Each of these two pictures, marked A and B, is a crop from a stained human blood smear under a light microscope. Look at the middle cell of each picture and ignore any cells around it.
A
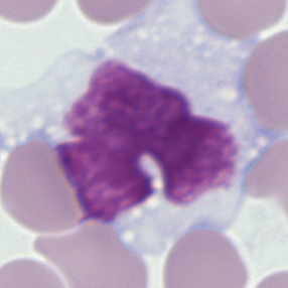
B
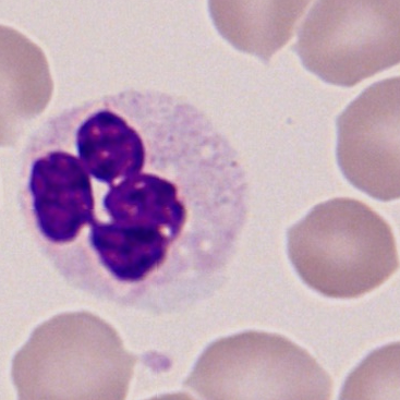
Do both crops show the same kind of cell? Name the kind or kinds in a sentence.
No, sorry, crop A shows a monocyte and crop B shows a neutrophil.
